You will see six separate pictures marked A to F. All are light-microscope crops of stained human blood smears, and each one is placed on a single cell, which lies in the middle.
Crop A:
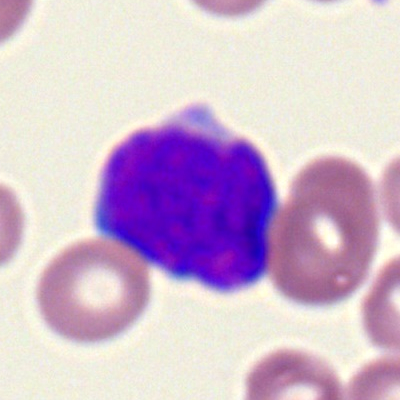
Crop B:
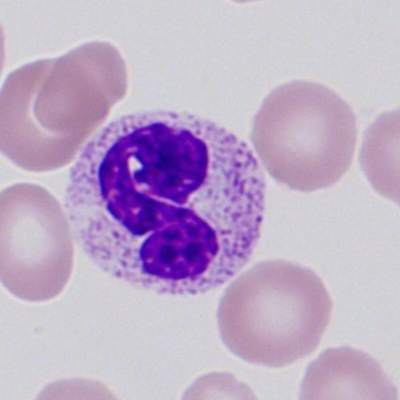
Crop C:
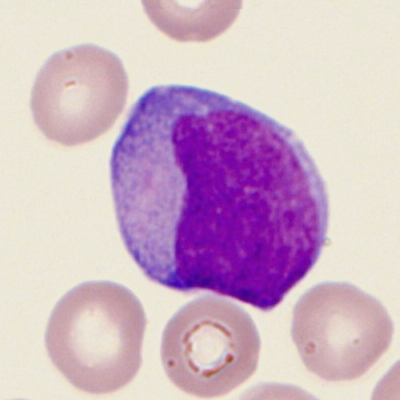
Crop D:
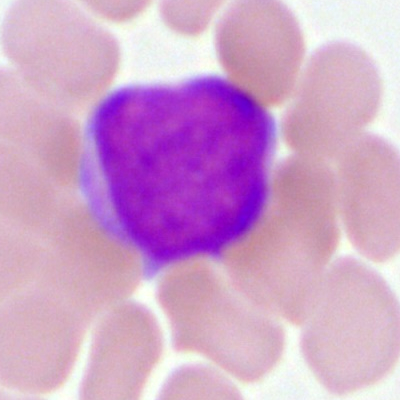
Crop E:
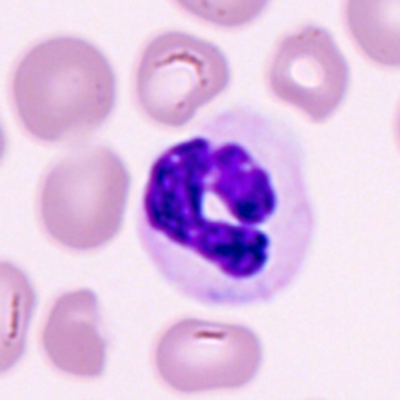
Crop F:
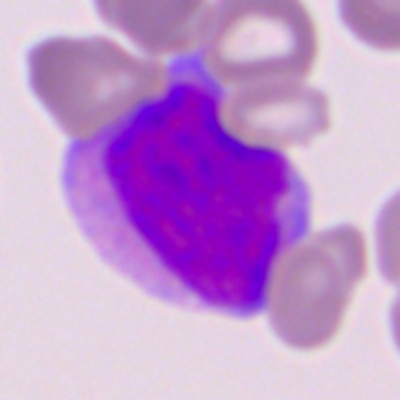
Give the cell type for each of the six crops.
A: myeloblast
B: segmented neutrophil
C: myeloblast
D: myeloblast
E: segmented neutrophil
F: myeloblast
